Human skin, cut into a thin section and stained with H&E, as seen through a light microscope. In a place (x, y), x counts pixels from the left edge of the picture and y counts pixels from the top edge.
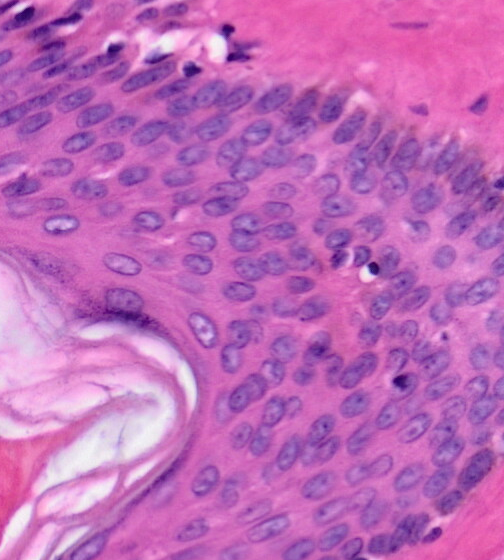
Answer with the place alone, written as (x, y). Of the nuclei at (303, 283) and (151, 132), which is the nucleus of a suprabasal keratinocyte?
(151, 132)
